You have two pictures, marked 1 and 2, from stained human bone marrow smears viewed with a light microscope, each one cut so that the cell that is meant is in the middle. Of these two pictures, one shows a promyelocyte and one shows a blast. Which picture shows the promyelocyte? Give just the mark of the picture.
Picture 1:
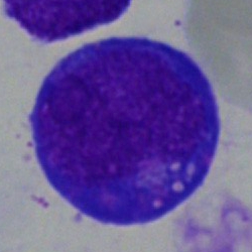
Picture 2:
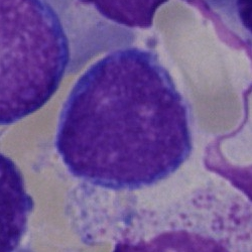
1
